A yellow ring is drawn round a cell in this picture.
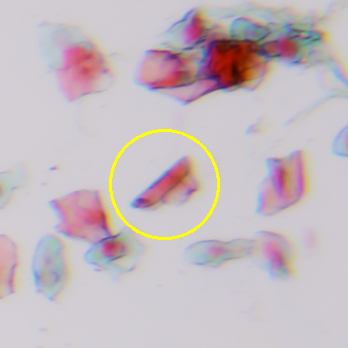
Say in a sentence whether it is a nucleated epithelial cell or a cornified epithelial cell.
The cell in the ring is a cornified epithelial cell.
